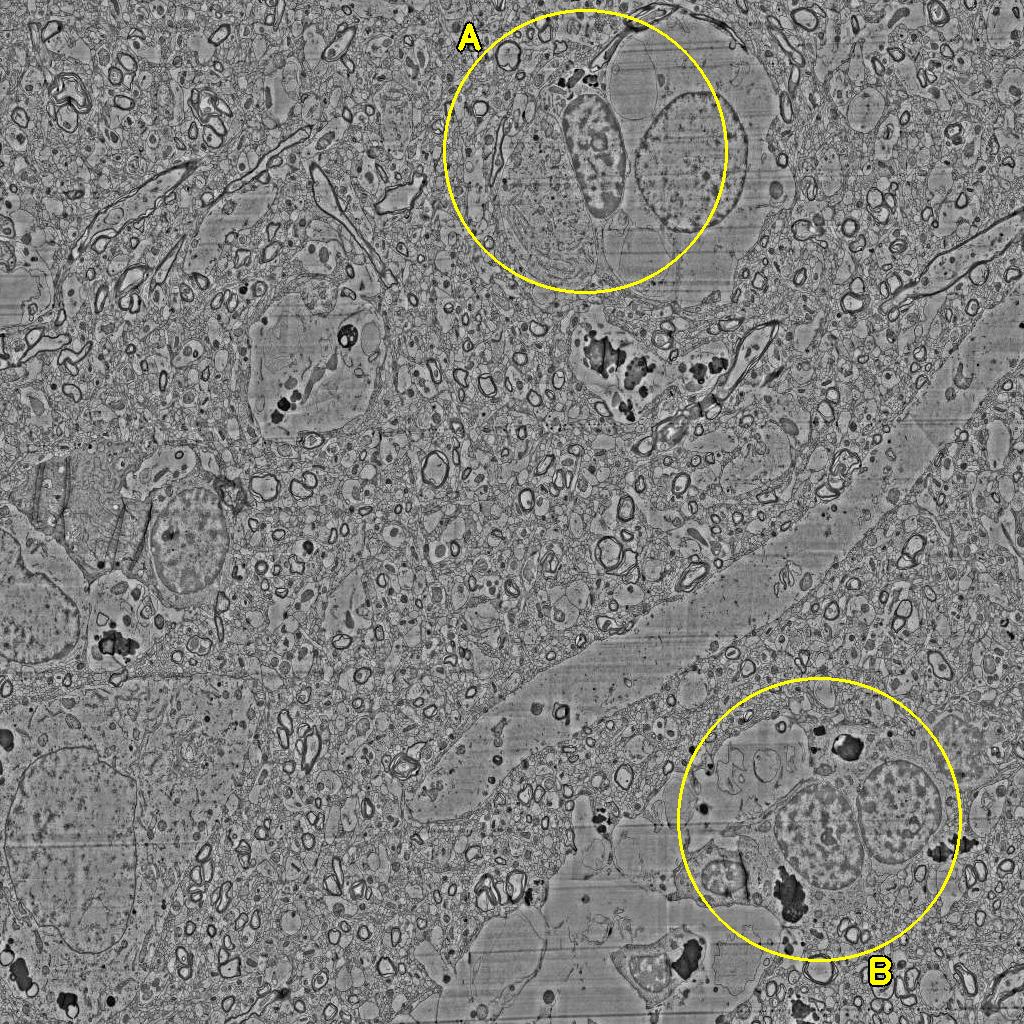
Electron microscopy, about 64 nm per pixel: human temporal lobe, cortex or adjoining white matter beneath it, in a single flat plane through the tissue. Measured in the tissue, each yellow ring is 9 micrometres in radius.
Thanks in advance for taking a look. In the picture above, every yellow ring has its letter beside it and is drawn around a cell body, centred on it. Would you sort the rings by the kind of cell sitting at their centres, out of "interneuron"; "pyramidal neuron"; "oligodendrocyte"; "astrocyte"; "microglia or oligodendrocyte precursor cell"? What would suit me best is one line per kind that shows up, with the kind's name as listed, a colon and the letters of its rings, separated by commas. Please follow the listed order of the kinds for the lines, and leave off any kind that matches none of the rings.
oligodendrocyte: B
microglia or oligodendrocyte precursor cell: A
